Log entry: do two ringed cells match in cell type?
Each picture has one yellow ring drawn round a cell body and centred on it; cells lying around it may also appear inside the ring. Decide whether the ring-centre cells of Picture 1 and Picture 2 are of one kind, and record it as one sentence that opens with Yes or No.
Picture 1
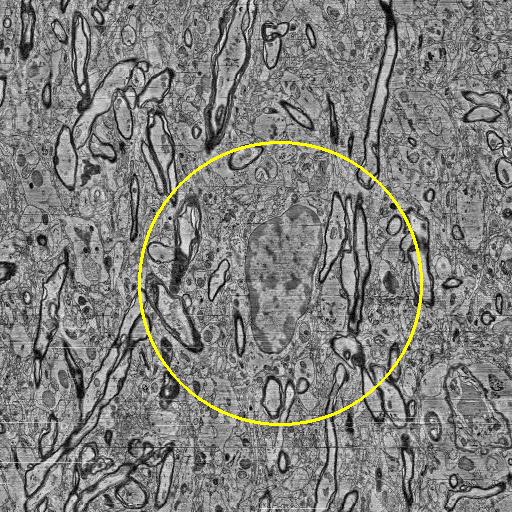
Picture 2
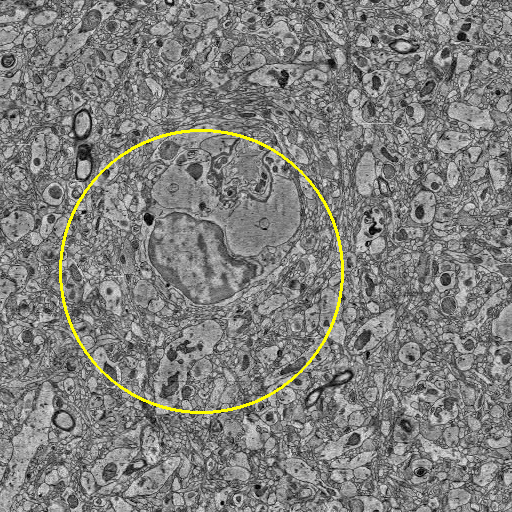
Yes, the cells at the ring centres of the two pictures belong to one kind.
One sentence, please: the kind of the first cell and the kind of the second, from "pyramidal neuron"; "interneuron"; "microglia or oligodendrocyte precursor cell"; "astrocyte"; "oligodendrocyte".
Each of the ringed cells, first and second, is a microglial cell or oligodendrocyte precursor cell.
